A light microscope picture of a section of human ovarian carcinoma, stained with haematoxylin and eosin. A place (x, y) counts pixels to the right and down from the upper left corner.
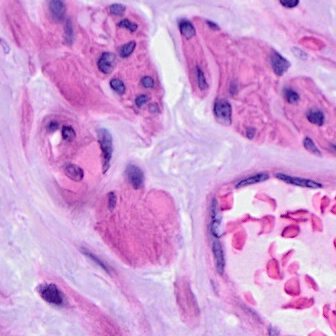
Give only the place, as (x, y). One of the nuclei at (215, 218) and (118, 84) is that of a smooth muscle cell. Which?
(118, 84)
